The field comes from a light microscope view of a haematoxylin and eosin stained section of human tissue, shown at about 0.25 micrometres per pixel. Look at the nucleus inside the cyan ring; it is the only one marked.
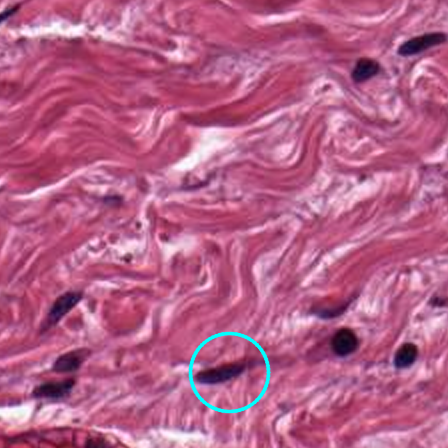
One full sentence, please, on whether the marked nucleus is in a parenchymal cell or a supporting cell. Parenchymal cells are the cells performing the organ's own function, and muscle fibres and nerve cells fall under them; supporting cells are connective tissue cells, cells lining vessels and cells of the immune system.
The marked nucleus is contained in a supporting cell.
